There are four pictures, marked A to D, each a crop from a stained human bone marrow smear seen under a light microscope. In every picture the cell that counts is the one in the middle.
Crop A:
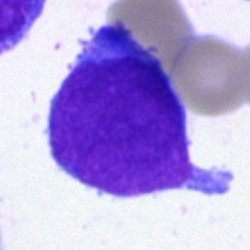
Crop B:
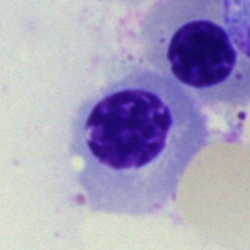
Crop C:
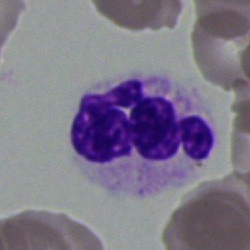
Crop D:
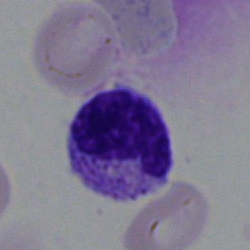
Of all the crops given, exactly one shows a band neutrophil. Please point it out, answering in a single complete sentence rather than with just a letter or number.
Crop D matches the request, showing a band neutrophil.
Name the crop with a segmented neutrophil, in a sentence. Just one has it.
Crop C is the crop whose central cell is a segmented neutrophil.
